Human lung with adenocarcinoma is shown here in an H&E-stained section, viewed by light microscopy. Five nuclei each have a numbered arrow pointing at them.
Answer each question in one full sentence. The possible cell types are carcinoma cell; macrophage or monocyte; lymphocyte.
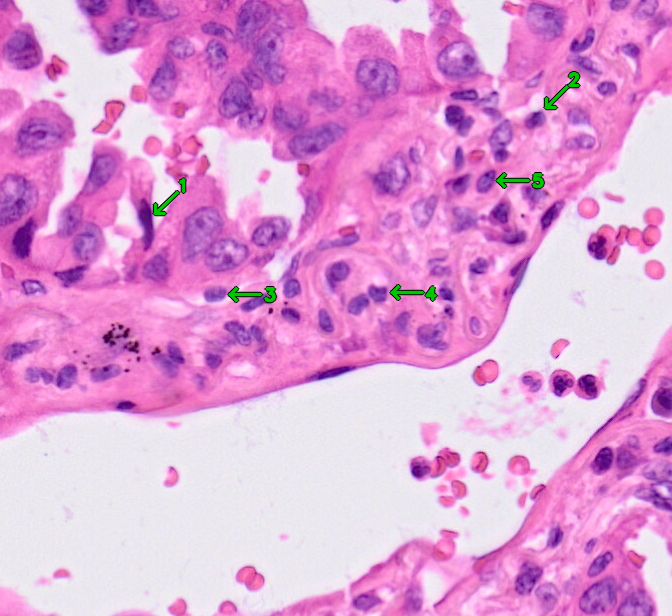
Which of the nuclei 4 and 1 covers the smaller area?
With nucleus 1 about 2.5 times its size, nucleus 4 is the smaller of the two.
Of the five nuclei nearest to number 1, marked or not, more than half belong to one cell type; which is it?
The majority of the five nuclei closest to number 1 belong to carcinoma cells.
